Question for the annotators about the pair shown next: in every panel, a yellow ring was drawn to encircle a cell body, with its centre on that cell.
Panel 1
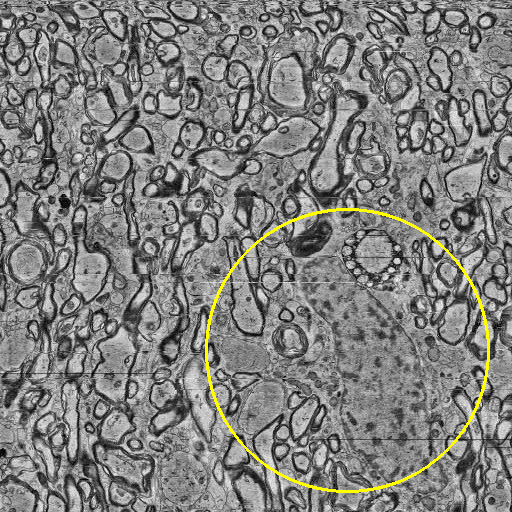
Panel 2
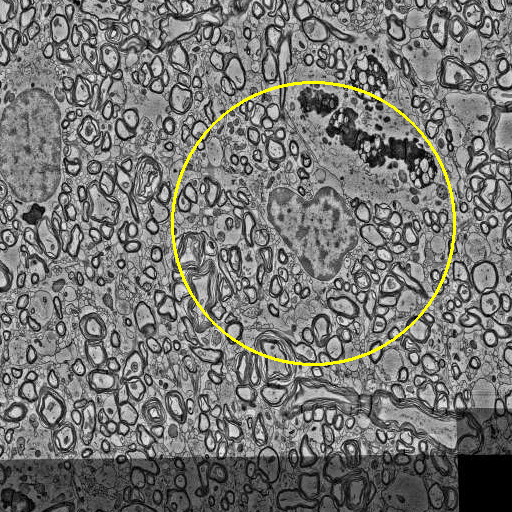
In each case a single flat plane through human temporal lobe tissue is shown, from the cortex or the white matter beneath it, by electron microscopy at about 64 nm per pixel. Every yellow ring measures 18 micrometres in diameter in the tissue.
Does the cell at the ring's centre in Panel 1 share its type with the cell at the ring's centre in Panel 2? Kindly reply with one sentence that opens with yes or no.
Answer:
No, in Panels 1 and 2 the cells at the ring centres belong to separate types.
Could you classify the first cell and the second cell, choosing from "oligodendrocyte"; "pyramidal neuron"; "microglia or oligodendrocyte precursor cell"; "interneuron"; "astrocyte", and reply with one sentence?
The second cell is a microglial cell or oligodendrocyte precursor cell, while the first is an astrocyte.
